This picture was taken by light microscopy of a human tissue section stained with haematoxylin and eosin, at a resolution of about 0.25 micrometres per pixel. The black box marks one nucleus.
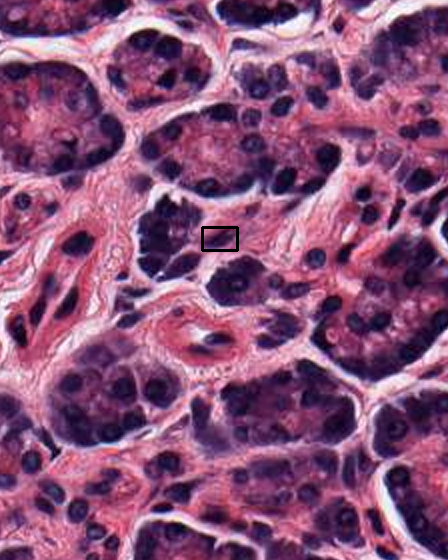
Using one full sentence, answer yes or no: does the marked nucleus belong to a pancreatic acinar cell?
No, what the marked nucleus belongs to is a supporting cell, not a pancreatic acinar cell.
